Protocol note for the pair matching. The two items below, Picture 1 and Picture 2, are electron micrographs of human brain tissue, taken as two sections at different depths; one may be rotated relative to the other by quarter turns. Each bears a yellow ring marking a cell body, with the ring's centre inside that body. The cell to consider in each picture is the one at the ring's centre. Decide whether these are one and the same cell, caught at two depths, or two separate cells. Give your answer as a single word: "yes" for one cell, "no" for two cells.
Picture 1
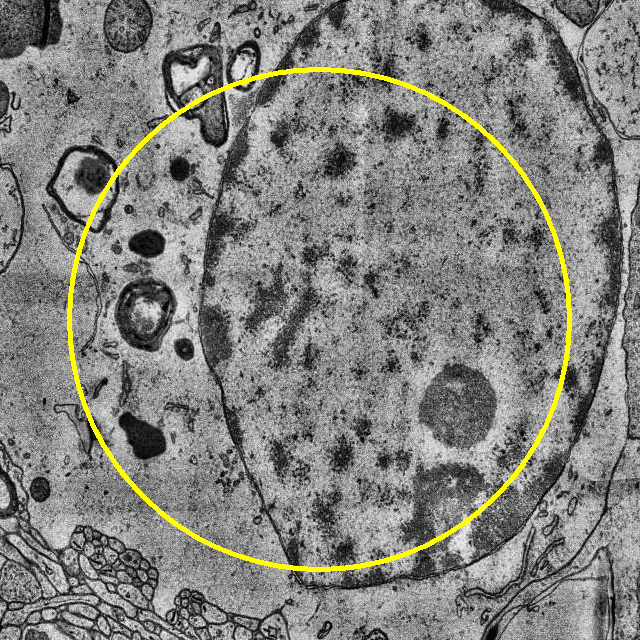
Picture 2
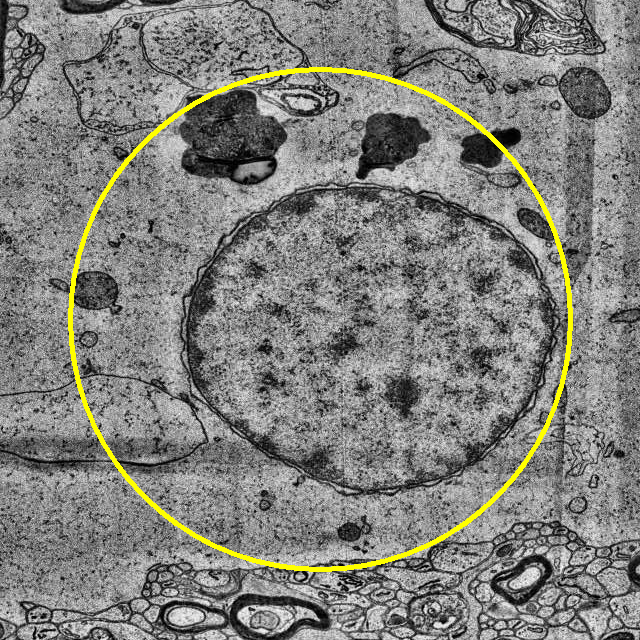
no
